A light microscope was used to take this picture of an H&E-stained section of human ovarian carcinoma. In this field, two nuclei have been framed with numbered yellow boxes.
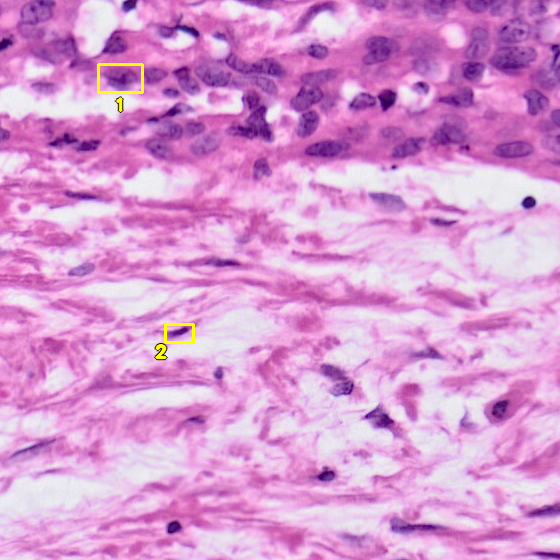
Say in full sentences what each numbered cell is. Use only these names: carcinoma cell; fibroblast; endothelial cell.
Cell 1 is a carcinoma cell and cell 2 is a fibroblast.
